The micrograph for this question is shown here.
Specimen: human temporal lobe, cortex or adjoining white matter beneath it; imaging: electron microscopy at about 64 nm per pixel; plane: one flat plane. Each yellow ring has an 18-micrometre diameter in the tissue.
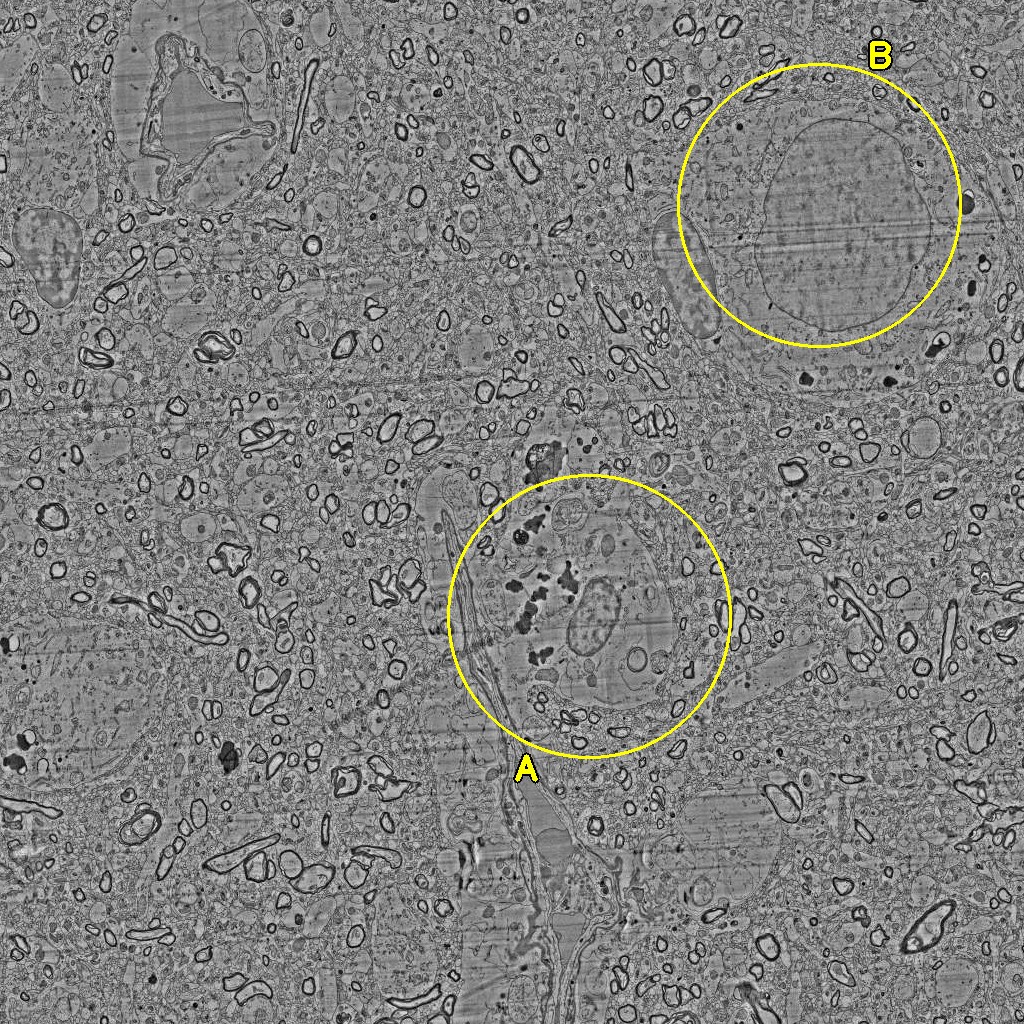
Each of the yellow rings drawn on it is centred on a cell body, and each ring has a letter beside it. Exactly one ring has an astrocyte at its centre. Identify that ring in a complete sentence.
The ring centred on it is ring A.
